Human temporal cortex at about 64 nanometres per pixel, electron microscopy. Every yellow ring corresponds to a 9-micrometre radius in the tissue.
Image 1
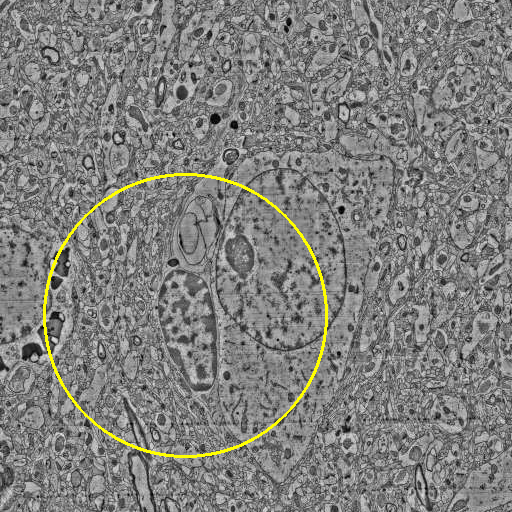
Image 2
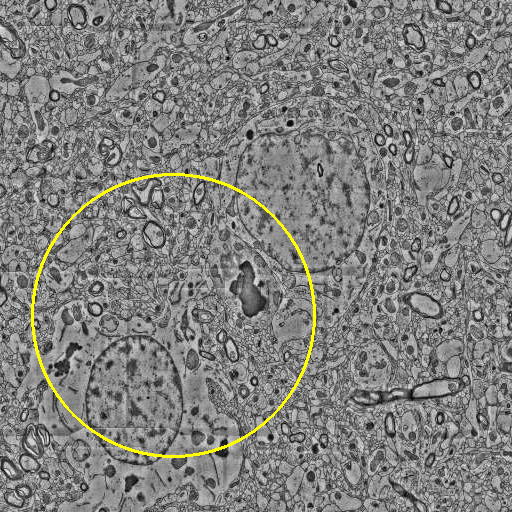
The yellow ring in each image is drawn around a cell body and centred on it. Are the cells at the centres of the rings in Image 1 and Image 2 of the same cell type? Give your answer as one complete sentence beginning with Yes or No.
No, the two cells are of two separate types.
